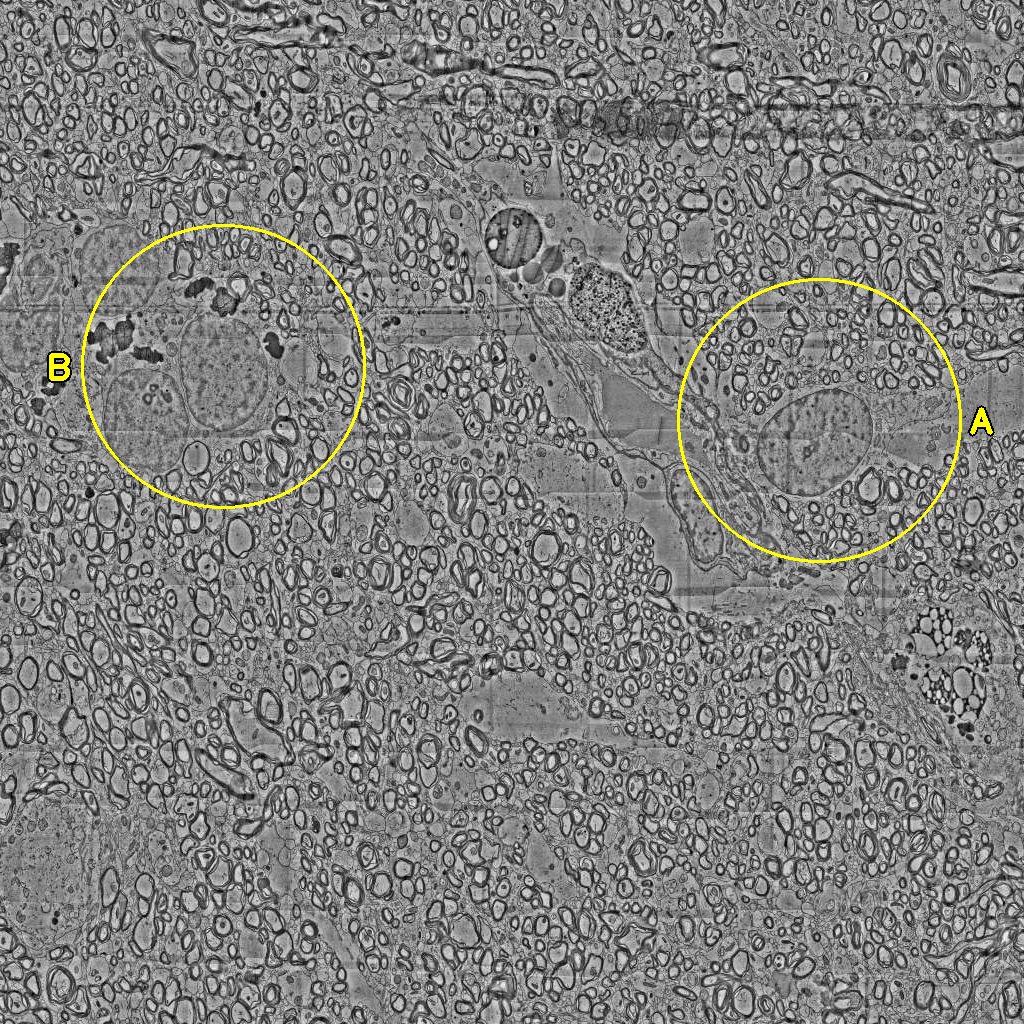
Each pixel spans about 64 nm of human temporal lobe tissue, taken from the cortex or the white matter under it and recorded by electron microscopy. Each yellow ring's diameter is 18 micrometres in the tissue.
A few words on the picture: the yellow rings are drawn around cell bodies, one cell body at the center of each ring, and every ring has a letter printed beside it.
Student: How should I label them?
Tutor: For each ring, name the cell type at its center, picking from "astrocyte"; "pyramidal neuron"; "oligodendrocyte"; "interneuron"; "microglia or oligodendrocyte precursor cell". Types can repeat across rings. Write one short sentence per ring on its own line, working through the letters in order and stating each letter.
In ring A, the central cell is a microglial cell or oligodendrocyte precursor cell.
In ring B, the central cell is an oligodendrocyte.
